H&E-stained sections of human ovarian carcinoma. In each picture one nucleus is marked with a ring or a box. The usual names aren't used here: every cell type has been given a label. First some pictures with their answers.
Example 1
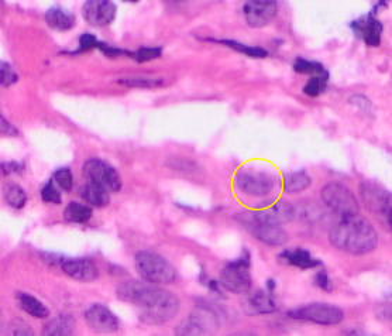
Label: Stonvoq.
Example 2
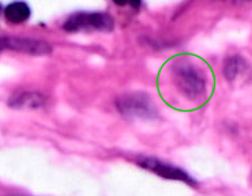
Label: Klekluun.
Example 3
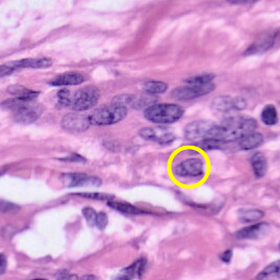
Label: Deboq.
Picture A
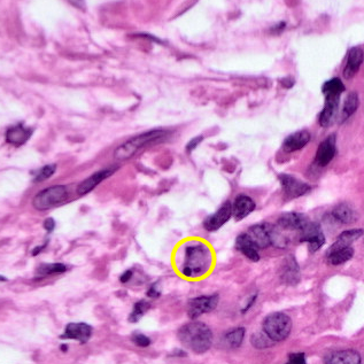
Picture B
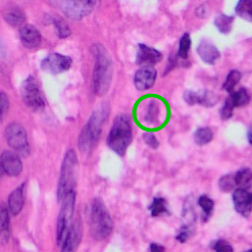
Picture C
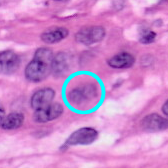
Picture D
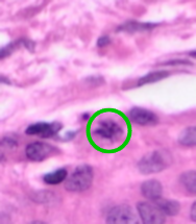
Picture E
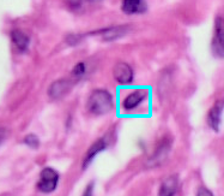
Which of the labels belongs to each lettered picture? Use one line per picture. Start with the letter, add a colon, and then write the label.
A: Deboq.
B: Deboq.
C: Stonvoq.
D: Deboq.
E: Klekluun.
